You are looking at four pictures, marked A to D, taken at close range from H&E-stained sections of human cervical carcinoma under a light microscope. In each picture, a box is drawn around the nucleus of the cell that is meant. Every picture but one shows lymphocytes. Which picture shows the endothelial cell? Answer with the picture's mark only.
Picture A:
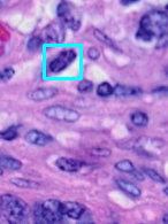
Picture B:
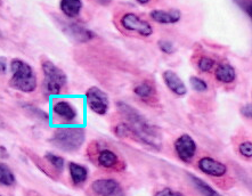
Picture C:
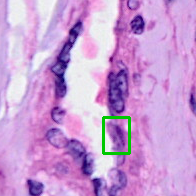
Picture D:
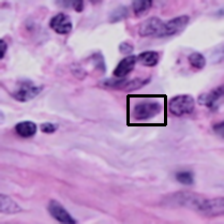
C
